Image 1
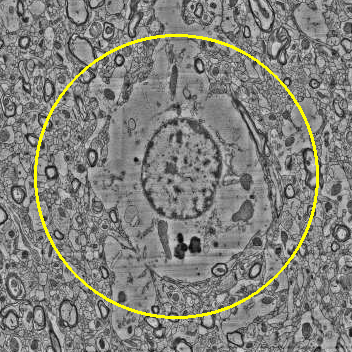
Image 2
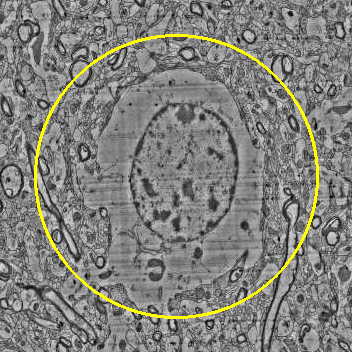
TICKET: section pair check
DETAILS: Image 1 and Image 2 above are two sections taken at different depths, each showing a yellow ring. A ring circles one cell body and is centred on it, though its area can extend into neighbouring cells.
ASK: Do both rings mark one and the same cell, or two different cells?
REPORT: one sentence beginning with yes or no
Yes, one cell appears twice, once in each ring.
